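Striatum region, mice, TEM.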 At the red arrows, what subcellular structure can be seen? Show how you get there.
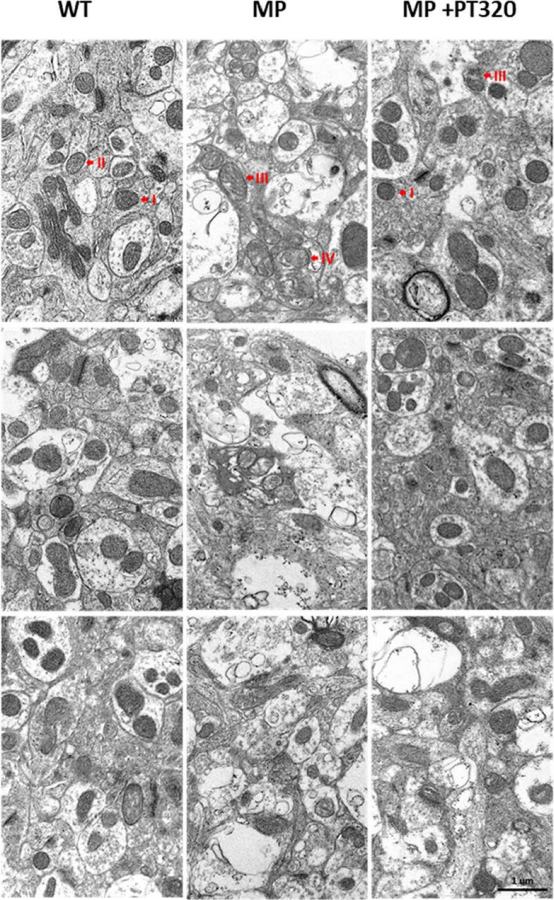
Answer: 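The red arrows point to oval, electron-dense organelles bounded by membranes. Several of the marked organelles contain parallel inner membrane folds.
Hence: mitochondria.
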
